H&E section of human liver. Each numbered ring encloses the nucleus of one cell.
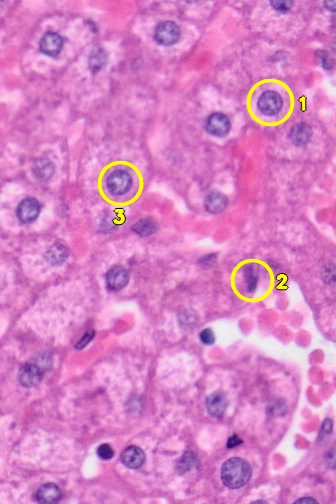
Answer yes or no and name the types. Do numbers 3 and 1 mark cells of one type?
Yes, hepatocytes are what cells 3 and 1 both are.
